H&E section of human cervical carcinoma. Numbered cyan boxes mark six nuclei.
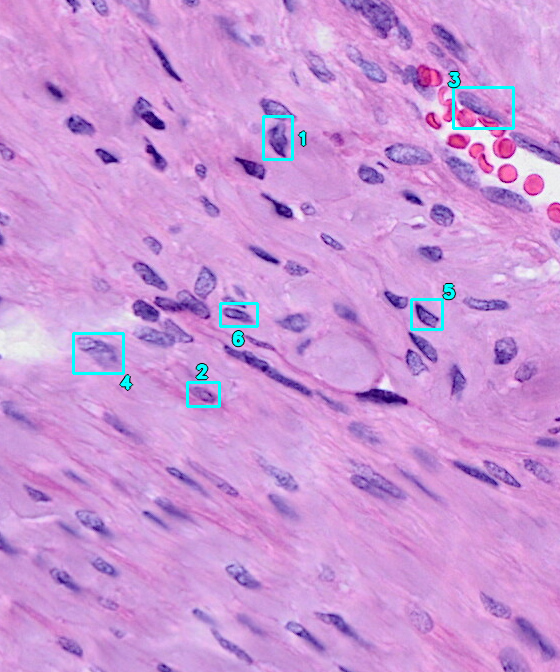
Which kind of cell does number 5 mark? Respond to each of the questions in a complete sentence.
That cell with number 5 is a fibroblast.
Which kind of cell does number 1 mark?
The cell indicated with the number 1 is classed as a fibroblast.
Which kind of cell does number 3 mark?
The correct answer for cell 3 is an endothelial cell.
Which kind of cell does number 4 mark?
Cell number 4 in this section is a fibroblast.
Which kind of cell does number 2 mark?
Corresponding to a smooth muscle cell is the cell labelled 2.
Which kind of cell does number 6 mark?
The expected answer is that cell 6 is a fibroblast.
